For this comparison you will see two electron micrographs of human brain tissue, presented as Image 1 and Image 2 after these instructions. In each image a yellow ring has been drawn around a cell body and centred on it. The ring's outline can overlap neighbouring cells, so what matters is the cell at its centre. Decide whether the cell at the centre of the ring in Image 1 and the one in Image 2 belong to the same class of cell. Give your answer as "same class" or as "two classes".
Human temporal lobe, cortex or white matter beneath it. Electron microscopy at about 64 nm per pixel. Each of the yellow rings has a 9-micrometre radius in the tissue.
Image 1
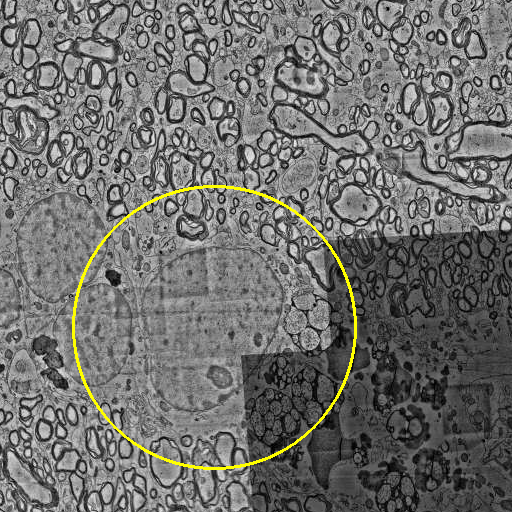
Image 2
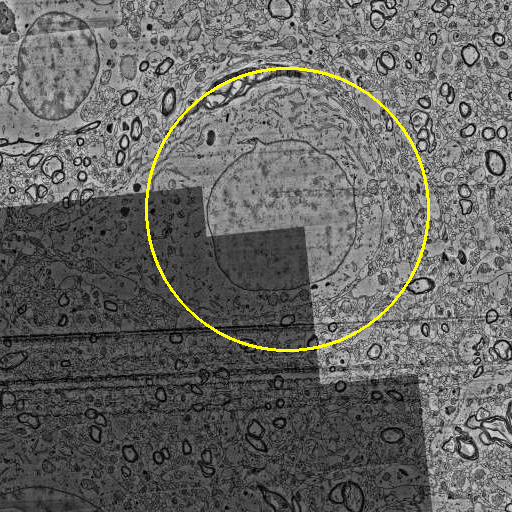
two classes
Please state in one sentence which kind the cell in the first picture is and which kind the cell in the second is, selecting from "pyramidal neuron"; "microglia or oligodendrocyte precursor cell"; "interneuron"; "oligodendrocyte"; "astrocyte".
The first ringed cell is an astrocyte, the second ringed cell a pyramidal neuron.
